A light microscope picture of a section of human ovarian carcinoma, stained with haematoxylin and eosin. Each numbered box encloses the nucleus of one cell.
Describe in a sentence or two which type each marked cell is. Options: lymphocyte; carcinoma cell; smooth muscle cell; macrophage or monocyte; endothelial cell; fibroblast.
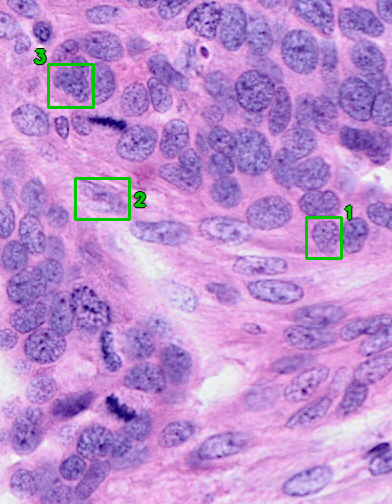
Cell 1 is a carcinoma cell, cell 2 is a fibroblast and cell 3 is a carcinoma cell.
